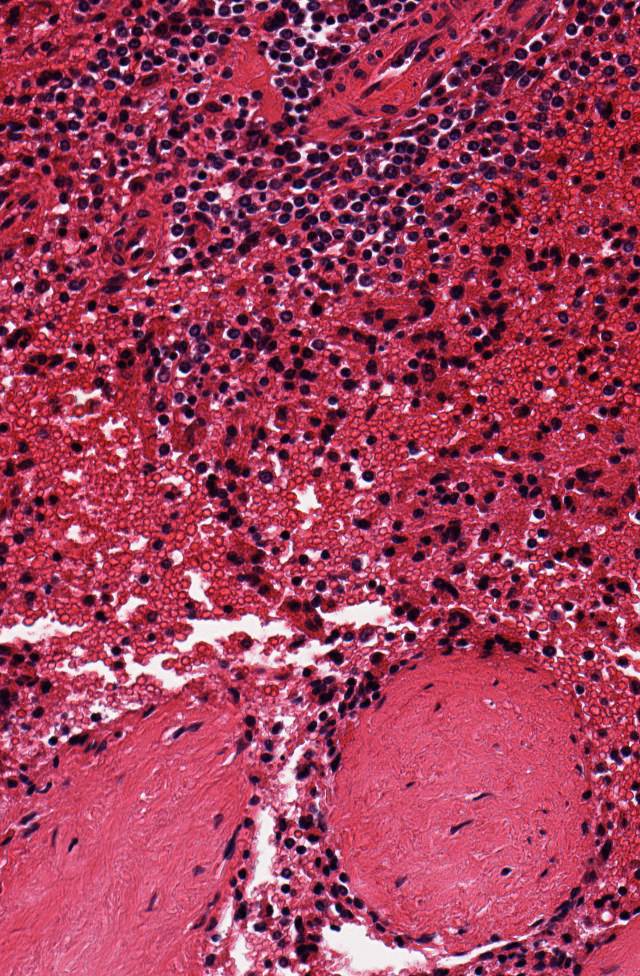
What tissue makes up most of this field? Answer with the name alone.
red pulp of the spleen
